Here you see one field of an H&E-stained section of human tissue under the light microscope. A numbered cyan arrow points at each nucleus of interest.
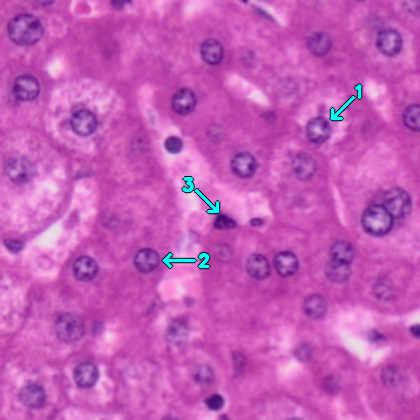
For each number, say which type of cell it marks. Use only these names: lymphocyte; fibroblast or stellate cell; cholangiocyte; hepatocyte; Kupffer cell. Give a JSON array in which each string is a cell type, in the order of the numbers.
["hepatocyte", "hepatocyte", "fibroblast or stellate cell"]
